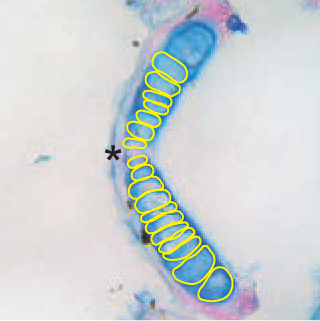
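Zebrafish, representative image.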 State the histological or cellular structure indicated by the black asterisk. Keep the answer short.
Meckel’s symphysis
